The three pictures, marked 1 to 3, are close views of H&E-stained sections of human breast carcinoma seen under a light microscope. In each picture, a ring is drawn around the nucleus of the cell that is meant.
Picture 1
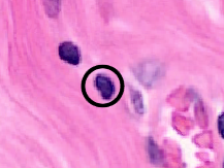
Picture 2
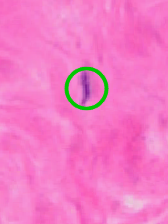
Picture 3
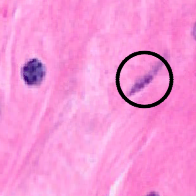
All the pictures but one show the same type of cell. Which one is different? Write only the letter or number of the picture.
1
